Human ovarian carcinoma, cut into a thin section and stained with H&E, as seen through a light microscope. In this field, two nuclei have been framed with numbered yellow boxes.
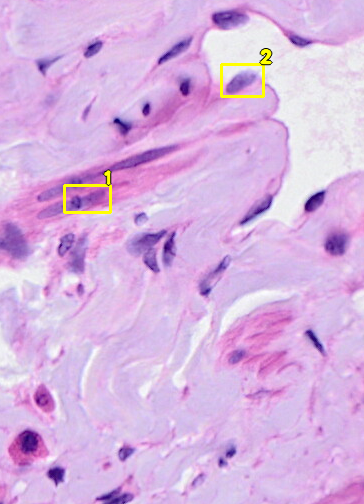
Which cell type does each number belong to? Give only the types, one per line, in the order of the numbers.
smooth muscle cell
endothelial cell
